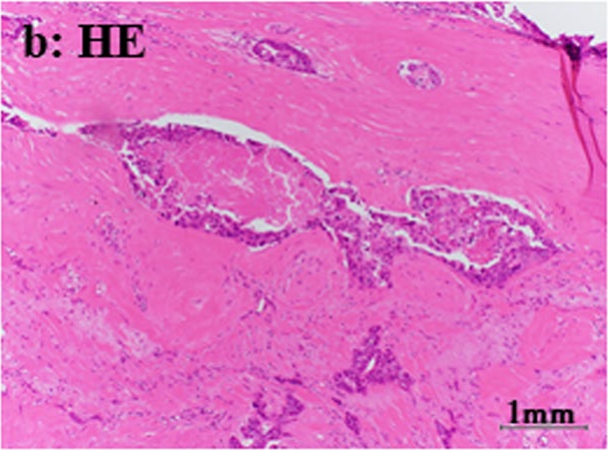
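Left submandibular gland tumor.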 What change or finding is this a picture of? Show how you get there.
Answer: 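A tumor cell nest has a center filled with pale pink amorphous debris. A rim of darker purple tumor cells lines the debris-filled center. The nests lie within dense pink fibrous stroma.
Hence: comedo necrosis.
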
